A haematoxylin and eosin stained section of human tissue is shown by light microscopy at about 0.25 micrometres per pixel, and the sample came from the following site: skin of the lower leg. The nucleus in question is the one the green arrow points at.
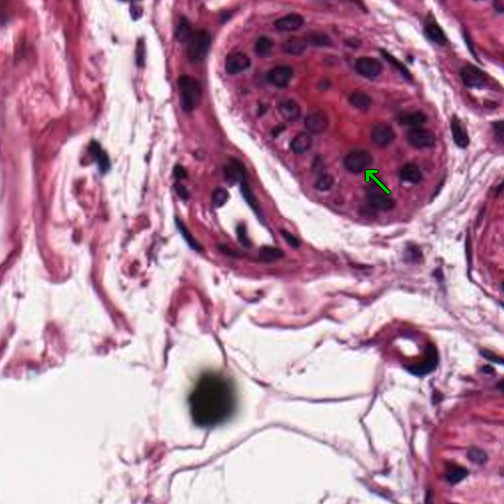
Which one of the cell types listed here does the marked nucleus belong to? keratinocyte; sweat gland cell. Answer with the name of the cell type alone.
sweat gland cell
